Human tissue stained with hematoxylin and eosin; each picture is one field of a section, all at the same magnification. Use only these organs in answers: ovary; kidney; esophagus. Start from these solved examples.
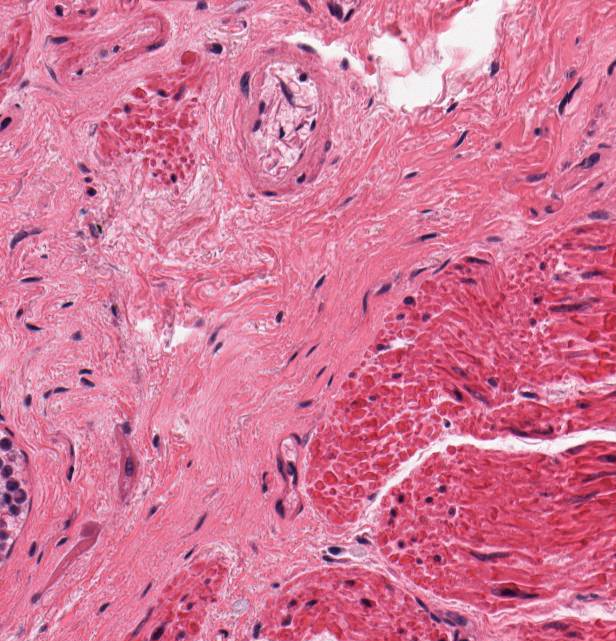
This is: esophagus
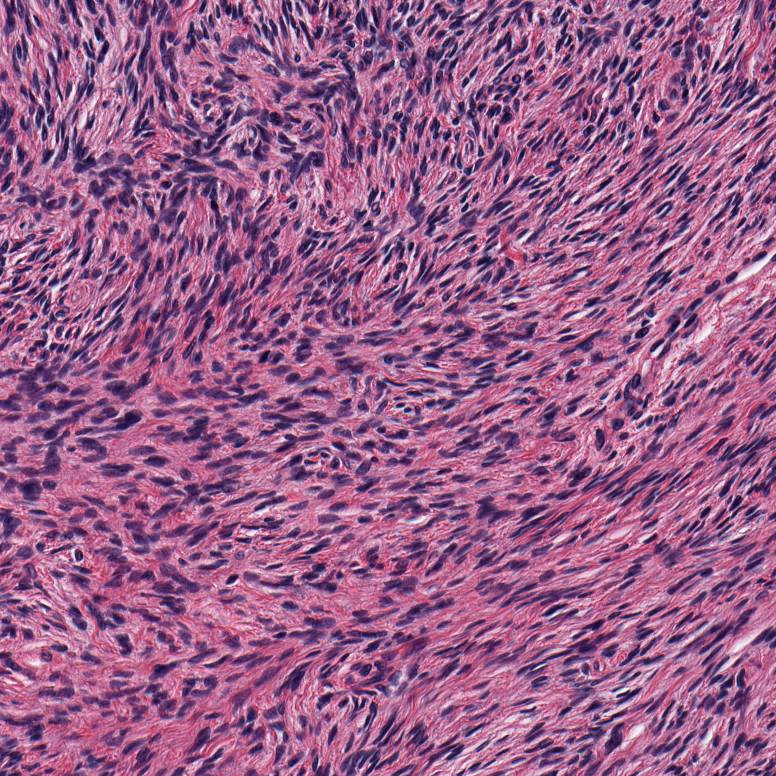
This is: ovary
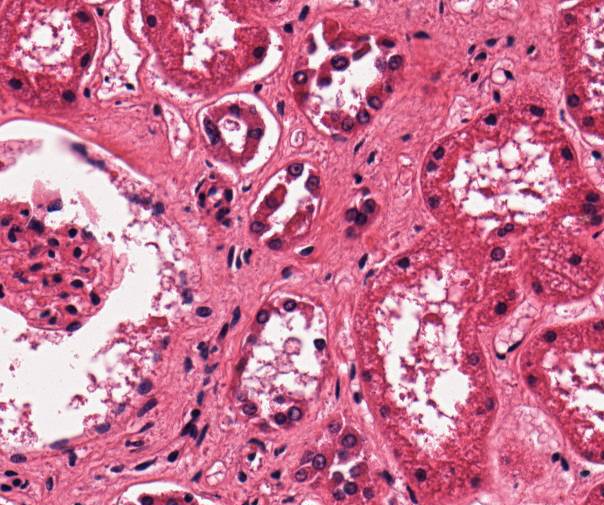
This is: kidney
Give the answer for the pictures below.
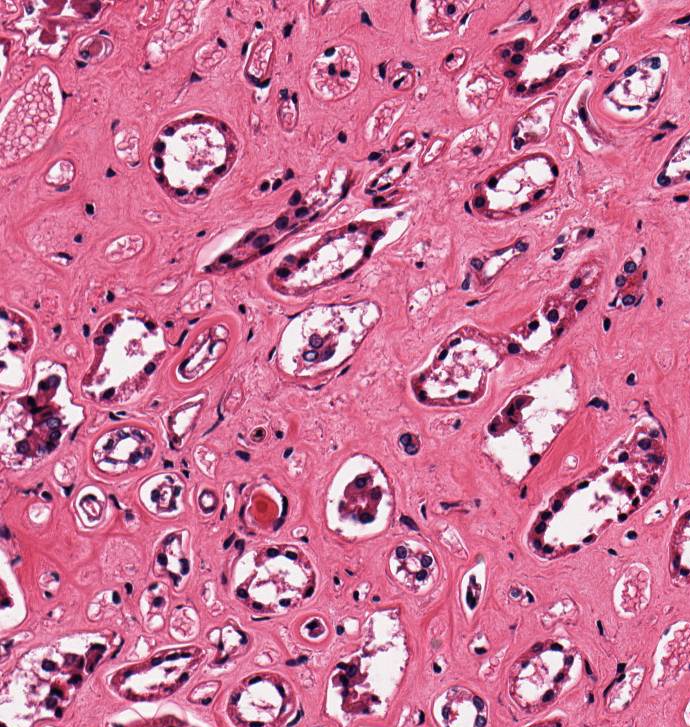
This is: kidney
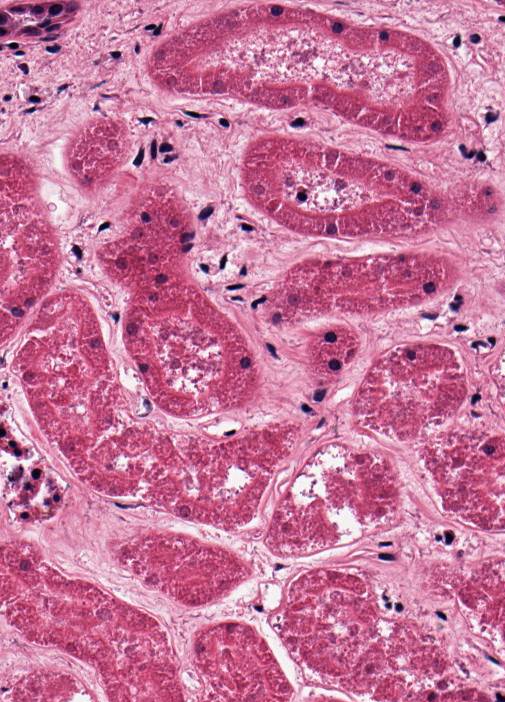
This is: kidney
